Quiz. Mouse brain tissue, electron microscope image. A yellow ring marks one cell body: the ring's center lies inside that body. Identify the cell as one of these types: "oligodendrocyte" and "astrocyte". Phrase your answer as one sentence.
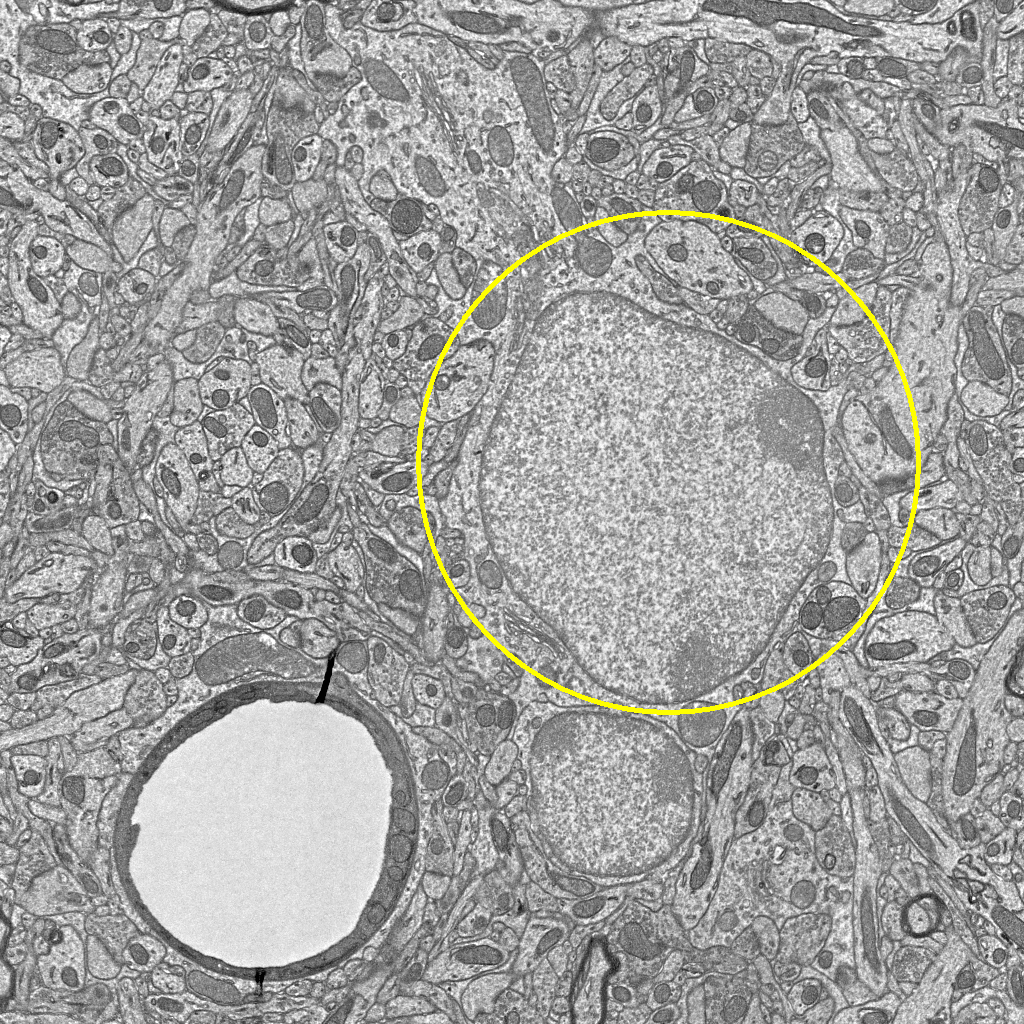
At the center of the ring sits an astrocyte.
